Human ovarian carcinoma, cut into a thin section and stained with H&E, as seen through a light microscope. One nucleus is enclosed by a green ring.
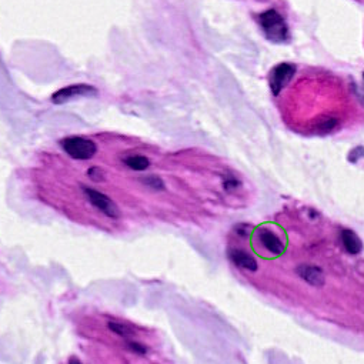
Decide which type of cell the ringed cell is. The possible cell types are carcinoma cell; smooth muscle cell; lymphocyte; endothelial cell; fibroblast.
smooth muscle cell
